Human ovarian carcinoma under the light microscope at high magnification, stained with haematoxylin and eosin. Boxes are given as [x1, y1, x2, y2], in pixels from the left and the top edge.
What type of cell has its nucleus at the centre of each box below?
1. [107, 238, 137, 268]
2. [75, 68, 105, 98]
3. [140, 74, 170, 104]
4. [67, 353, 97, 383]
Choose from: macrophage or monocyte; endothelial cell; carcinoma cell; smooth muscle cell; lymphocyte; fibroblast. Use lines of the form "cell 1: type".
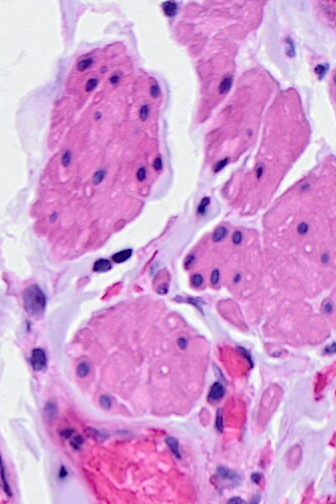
cell 1: lymphocyte
cell 2: smooth muscle cell
cell 3: smooth muscle cell
cell 4: smooth muscle cell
